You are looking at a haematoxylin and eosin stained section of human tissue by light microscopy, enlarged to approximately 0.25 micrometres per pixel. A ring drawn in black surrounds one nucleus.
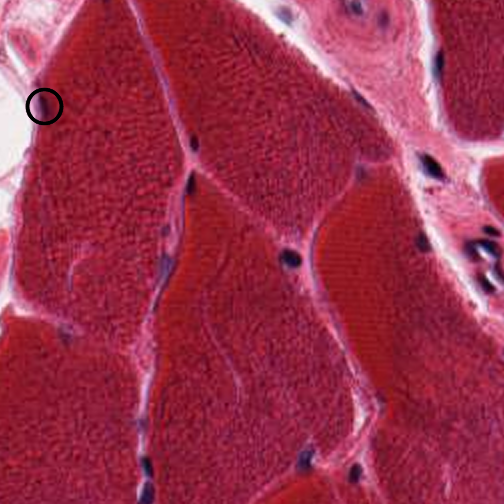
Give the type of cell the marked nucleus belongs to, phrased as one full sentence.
The marked nucleus sits within a skeletal muscle fibre.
